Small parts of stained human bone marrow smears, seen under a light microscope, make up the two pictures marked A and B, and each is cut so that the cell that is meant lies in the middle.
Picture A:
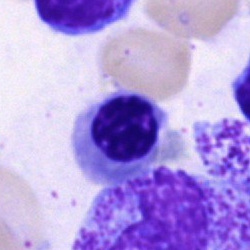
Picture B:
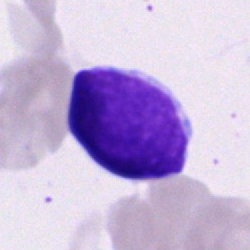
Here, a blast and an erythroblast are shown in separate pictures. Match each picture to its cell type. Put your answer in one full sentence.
It is picture A that shows an erythroblast, and picture B that shows a blast.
